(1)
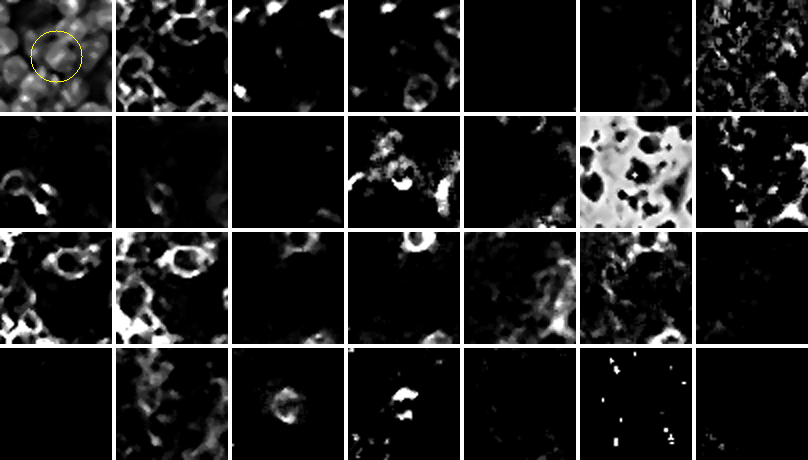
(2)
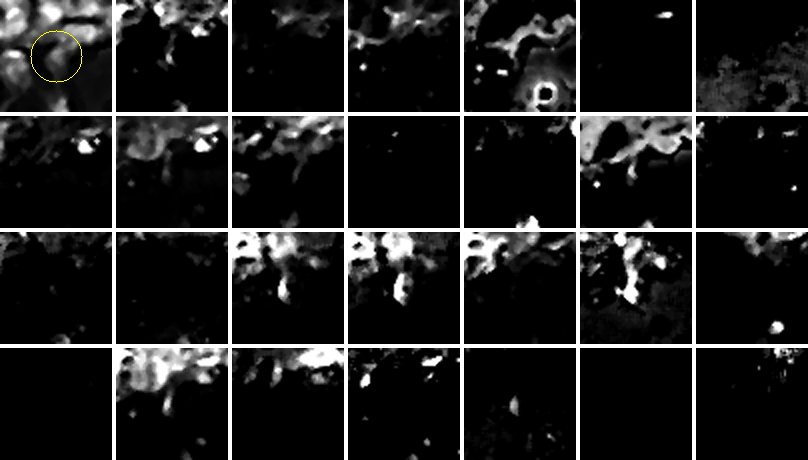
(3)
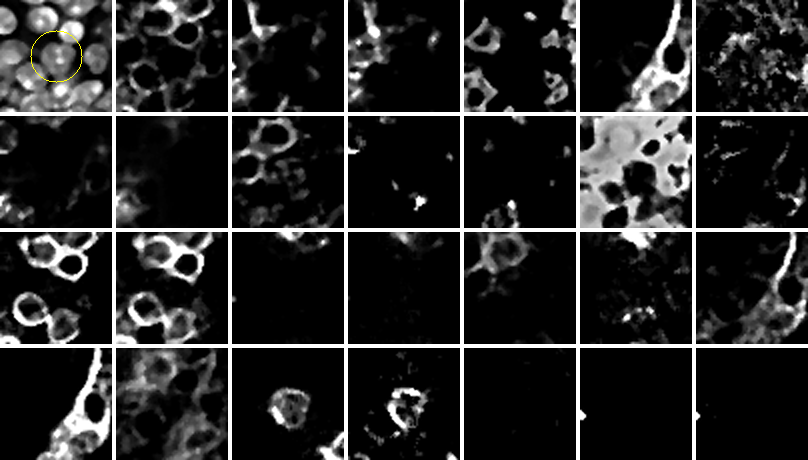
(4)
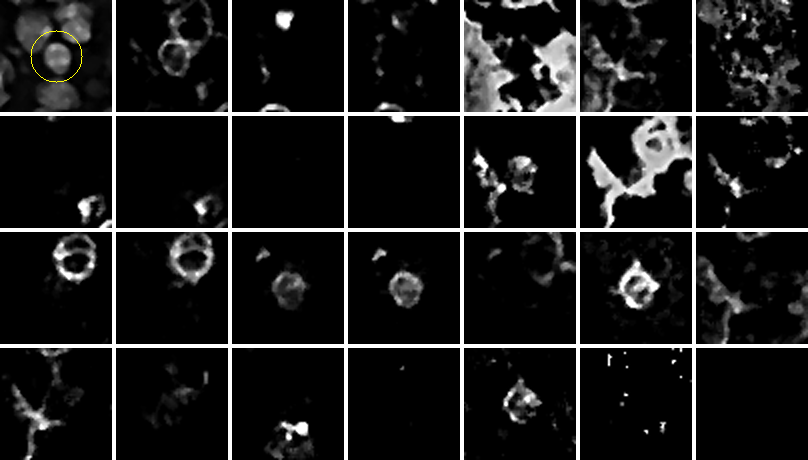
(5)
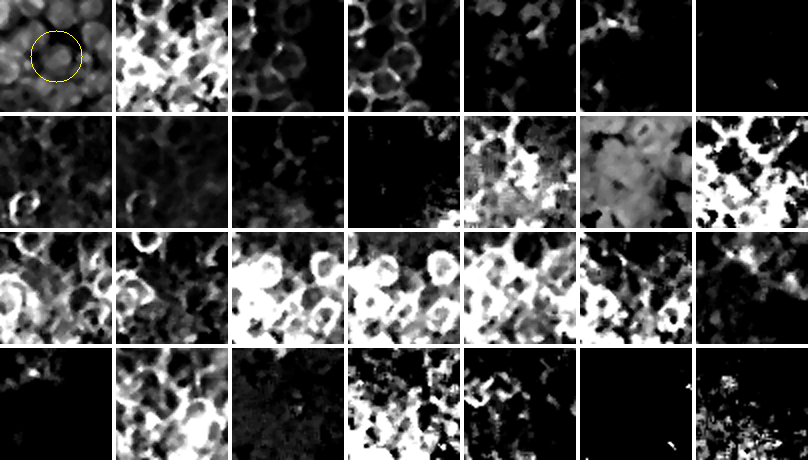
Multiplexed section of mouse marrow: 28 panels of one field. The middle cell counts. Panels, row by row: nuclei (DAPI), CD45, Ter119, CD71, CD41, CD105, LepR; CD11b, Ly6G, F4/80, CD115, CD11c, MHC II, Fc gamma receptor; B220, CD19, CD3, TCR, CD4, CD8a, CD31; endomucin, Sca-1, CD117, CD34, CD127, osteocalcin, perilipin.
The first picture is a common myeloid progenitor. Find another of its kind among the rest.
Picture 3.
